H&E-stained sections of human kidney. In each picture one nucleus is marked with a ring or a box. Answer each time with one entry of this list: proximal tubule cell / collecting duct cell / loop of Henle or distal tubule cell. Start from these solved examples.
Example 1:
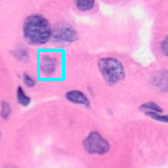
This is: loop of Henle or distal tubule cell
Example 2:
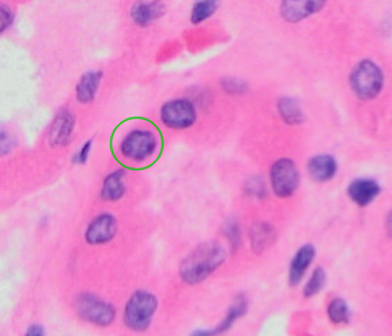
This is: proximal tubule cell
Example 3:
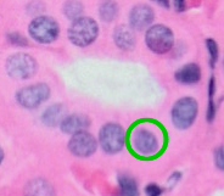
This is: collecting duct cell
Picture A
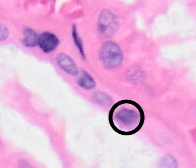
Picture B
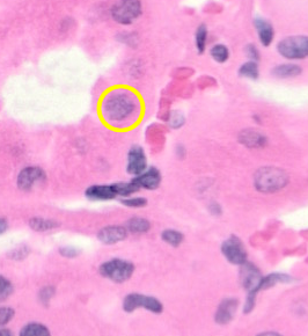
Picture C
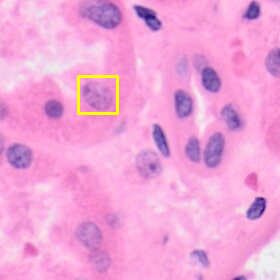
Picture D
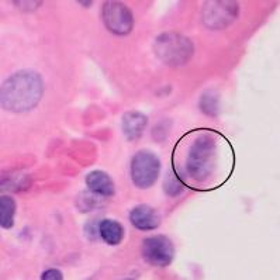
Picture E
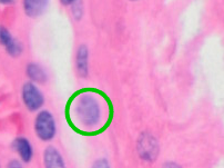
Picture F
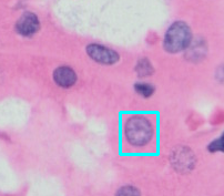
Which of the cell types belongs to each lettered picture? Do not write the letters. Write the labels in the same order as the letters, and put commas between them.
collecting duct cell, proximal tubule cell, proximal tubule cell, collecting duct cell, collecting duct cell, proximal tubule cell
